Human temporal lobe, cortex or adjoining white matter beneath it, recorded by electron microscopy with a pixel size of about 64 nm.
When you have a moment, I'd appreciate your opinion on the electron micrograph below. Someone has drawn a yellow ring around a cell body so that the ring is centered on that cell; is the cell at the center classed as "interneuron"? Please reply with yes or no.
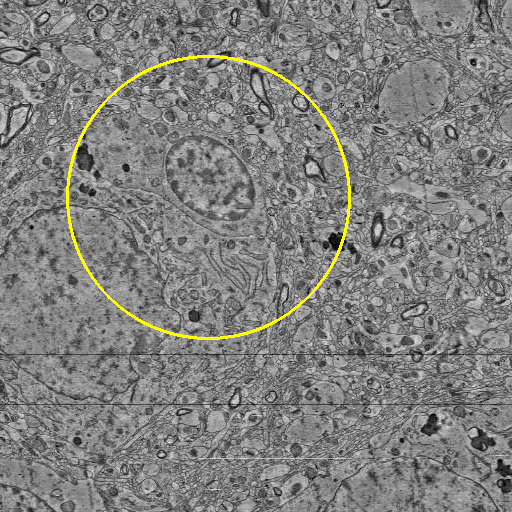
No, that cell belongs to another kind.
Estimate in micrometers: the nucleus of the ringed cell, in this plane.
About 6 by 5 micrometres in this plane.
